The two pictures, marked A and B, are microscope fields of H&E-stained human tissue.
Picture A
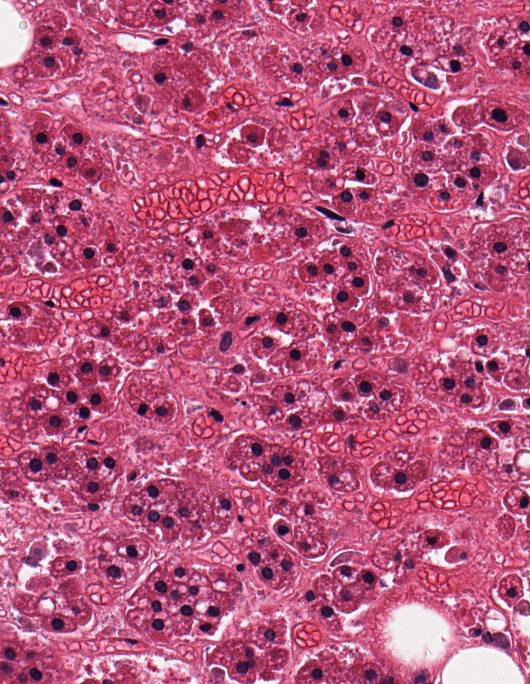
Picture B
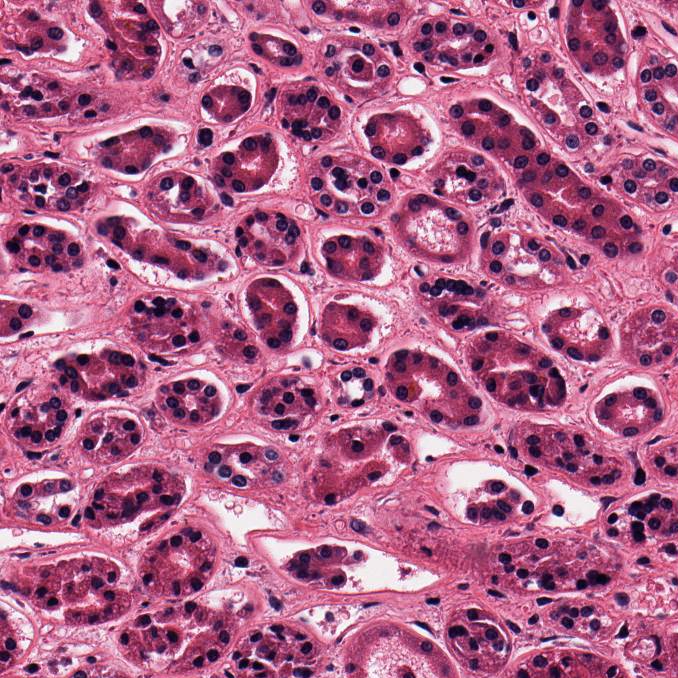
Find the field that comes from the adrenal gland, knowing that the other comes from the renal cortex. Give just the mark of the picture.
A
